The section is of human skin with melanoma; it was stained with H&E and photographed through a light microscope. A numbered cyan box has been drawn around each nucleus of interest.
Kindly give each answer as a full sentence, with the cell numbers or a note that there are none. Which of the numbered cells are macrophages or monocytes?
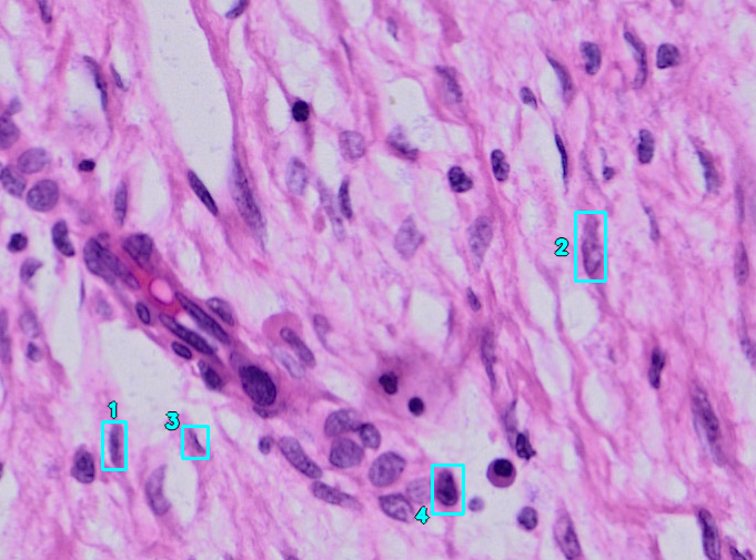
Only the cell with number 4 is a macrophage or monocyte.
